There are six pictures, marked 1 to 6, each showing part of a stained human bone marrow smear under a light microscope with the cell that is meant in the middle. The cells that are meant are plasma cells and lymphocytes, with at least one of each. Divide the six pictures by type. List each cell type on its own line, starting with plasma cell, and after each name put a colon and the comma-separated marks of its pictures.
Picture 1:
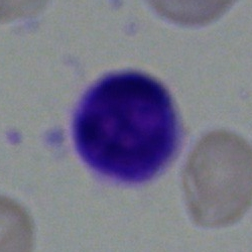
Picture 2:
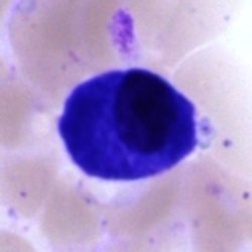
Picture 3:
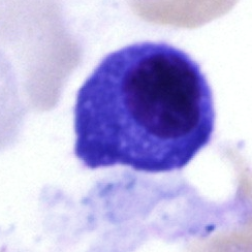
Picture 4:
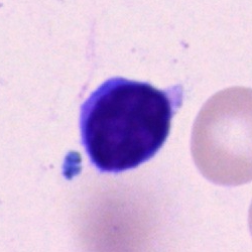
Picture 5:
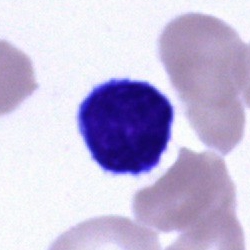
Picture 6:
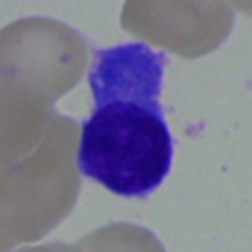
plasma cell: 2, 3, 6
lymphocyte: 1, 4, 5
